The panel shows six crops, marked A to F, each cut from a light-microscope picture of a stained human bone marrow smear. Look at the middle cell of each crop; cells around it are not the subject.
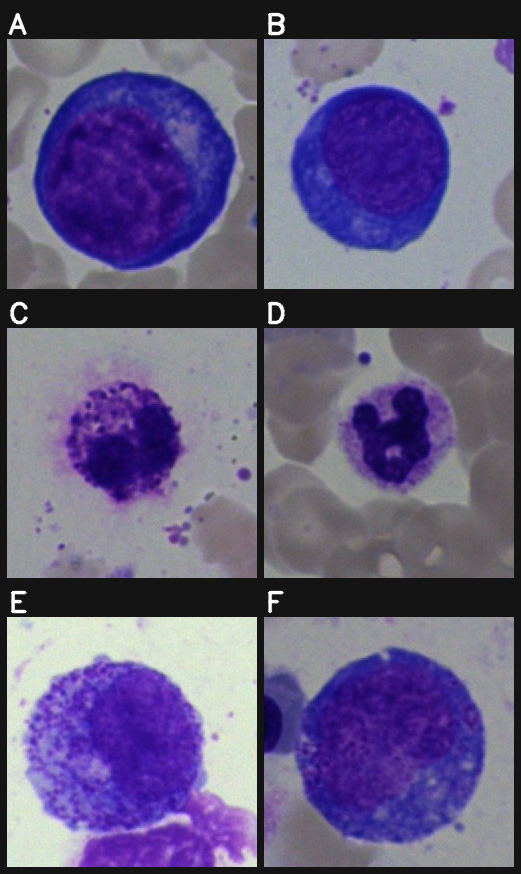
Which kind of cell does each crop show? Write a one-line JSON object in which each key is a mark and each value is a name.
{"A": "proerythroblast", "B": "proerythroblast", "C": "basophil", "D": "segmented neutrophil", "E": "promyelocyte", "F": "proerythroblast"}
